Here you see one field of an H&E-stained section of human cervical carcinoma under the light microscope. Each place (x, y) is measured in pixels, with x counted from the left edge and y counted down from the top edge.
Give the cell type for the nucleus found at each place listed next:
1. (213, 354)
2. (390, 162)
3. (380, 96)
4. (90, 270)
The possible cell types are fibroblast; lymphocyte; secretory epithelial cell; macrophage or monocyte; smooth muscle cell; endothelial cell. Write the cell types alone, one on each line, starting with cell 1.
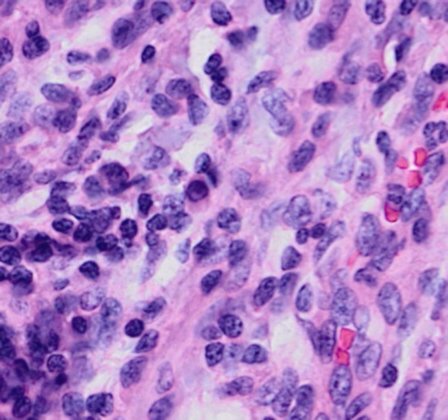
lymphocyte
endothelial cell
lymphocyte
lymphocyte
